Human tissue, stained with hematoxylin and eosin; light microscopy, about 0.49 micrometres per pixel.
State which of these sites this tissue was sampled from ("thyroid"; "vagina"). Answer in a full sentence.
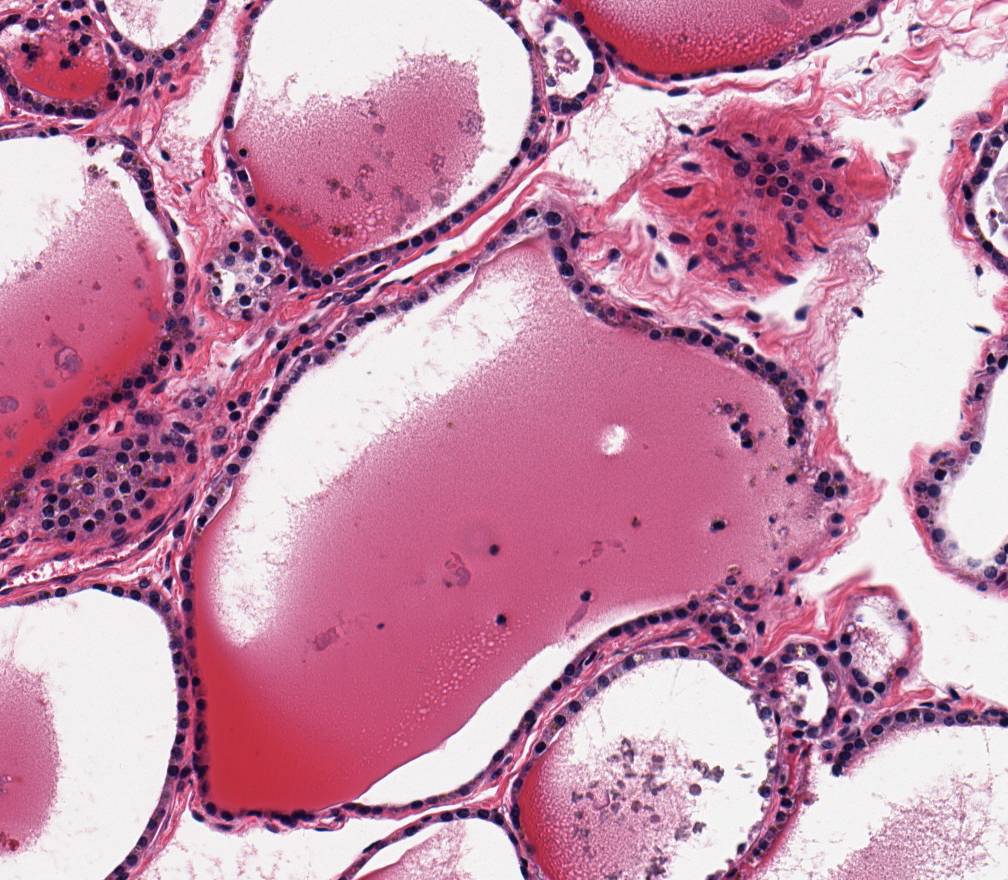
The site this tissue was sampled from is the thyroid.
